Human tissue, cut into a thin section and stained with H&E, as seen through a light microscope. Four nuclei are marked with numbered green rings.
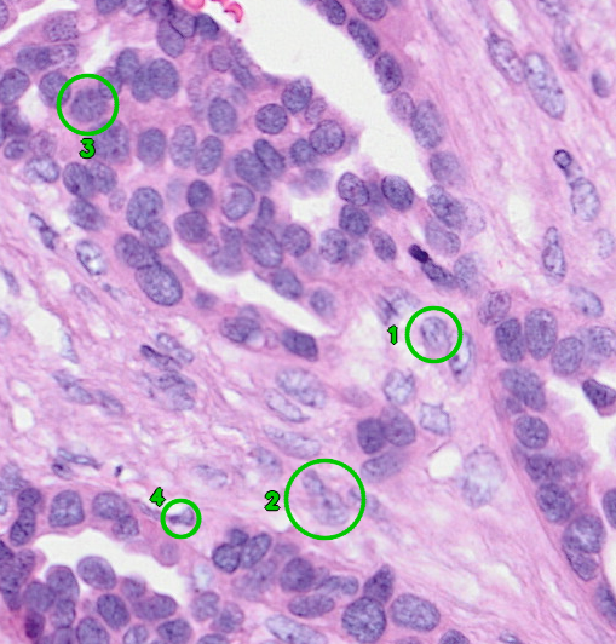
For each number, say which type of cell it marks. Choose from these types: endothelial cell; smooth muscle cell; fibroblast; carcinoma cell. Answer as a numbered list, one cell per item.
1. fibroblast
2. fibroblast
3. carcinoma cell
4. fibroblast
